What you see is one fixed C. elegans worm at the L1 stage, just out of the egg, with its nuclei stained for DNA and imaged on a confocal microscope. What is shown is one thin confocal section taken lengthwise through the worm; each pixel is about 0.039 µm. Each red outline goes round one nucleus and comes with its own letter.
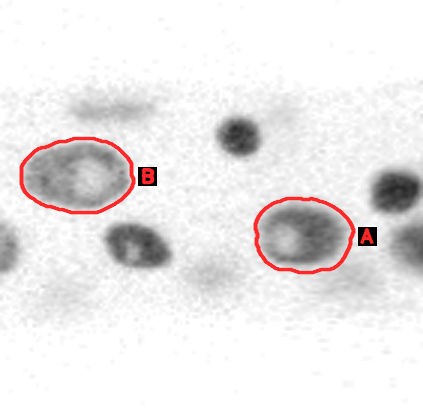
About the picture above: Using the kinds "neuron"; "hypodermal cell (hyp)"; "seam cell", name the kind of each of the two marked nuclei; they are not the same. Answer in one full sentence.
A is in a seam cell and B is in a hypodermal cell (hyp).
